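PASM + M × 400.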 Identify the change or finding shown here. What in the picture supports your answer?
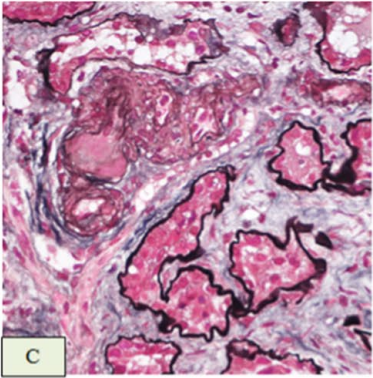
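A small vessel at upper left has a thick, layered wall. Its lumen is narrowed by pale pink glassy material. The answer: Thickening of the arteriolar wall.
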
